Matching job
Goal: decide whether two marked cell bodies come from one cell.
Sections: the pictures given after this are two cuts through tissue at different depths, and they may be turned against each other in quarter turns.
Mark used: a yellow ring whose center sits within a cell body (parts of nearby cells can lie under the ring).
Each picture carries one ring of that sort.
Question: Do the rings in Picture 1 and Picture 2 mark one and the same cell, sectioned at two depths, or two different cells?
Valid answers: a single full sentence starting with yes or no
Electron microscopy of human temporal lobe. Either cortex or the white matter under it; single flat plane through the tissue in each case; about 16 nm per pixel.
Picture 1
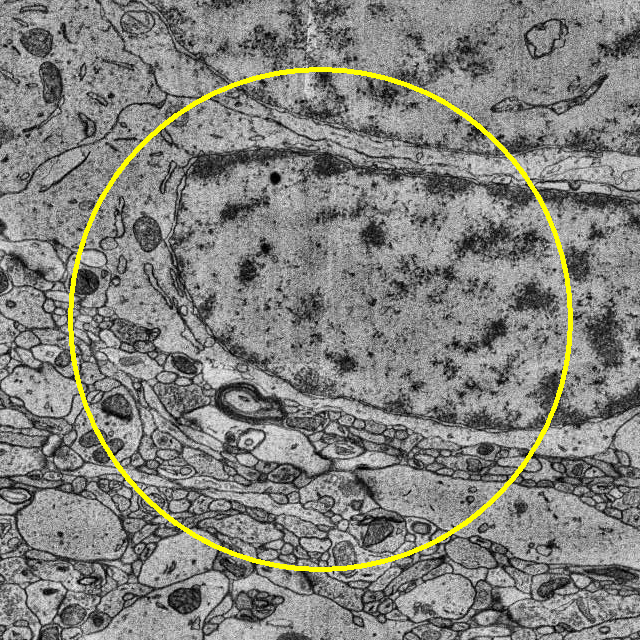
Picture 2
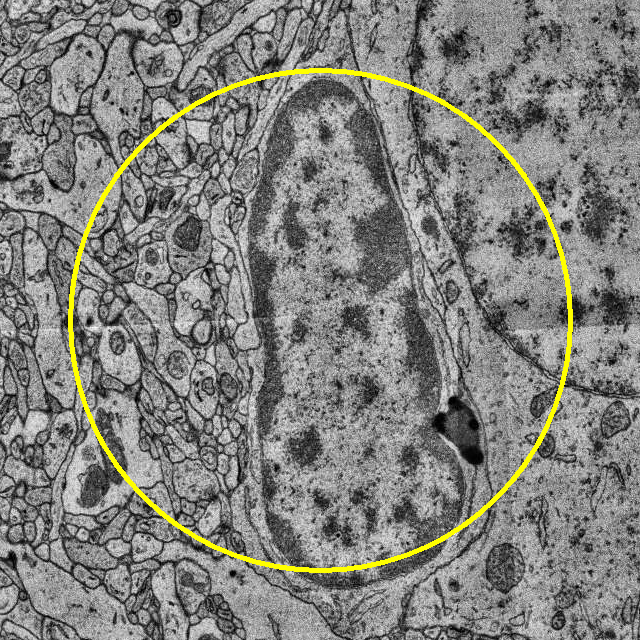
No, the rings mark two cells rather than a single cell.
